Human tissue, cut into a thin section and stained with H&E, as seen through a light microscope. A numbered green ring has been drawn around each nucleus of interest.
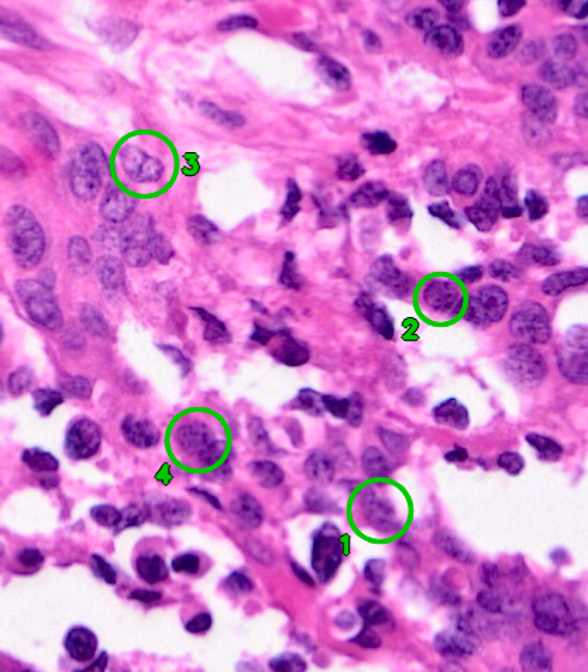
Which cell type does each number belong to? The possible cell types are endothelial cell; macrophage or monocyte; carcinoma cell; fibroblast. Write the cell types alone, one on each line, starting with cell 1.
carcinoma cell
carcinoma cell
macrophage or monocyte
carcinoma cell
